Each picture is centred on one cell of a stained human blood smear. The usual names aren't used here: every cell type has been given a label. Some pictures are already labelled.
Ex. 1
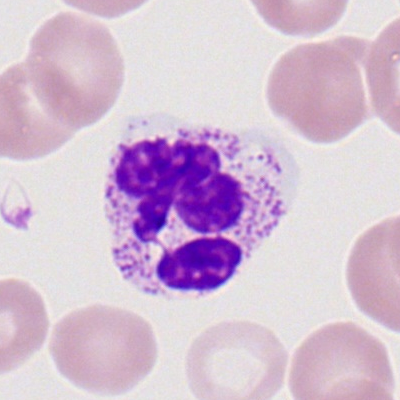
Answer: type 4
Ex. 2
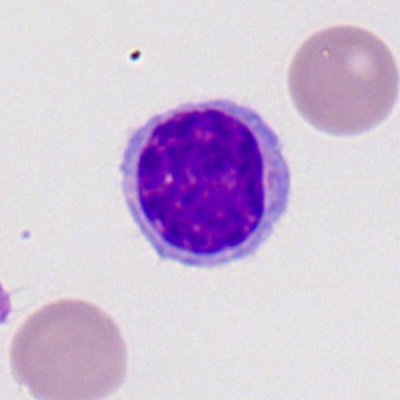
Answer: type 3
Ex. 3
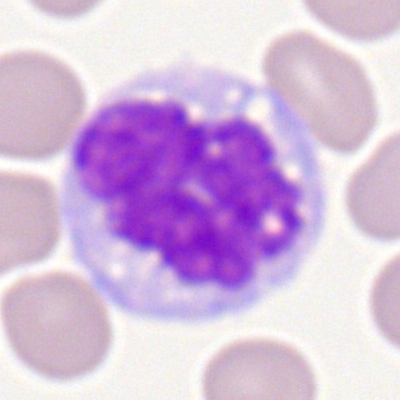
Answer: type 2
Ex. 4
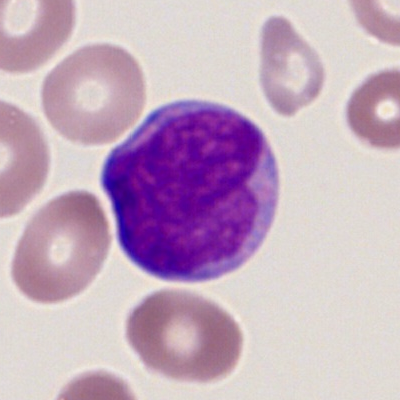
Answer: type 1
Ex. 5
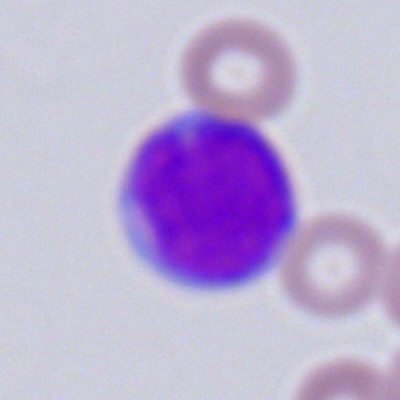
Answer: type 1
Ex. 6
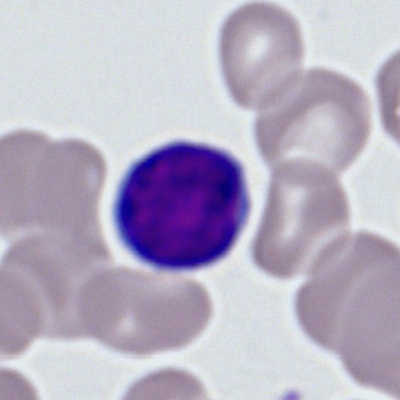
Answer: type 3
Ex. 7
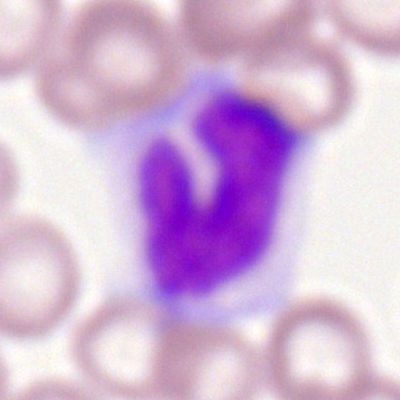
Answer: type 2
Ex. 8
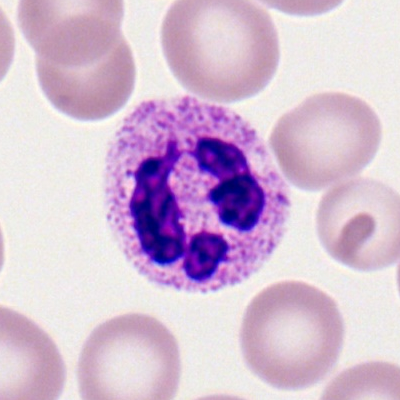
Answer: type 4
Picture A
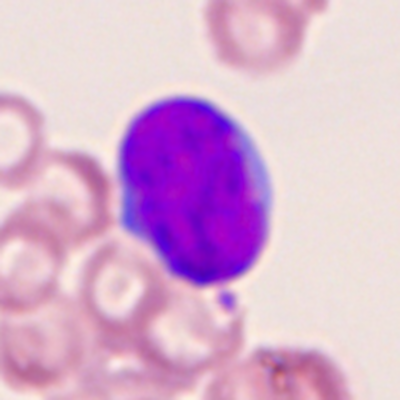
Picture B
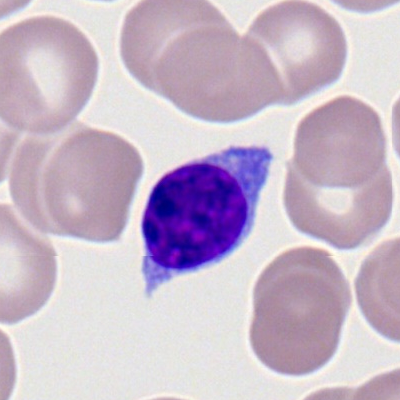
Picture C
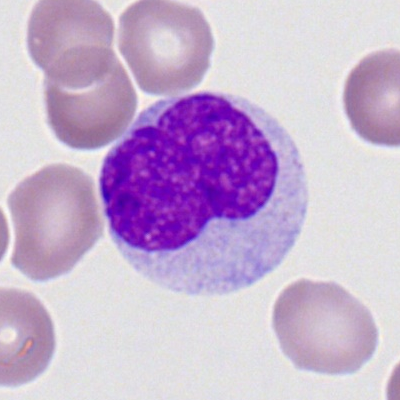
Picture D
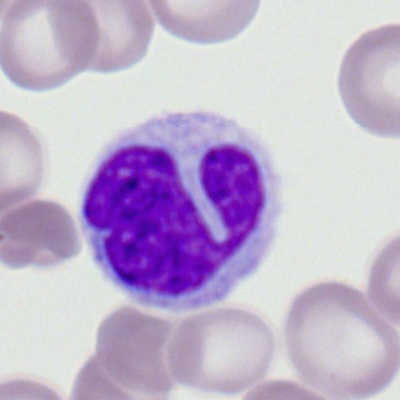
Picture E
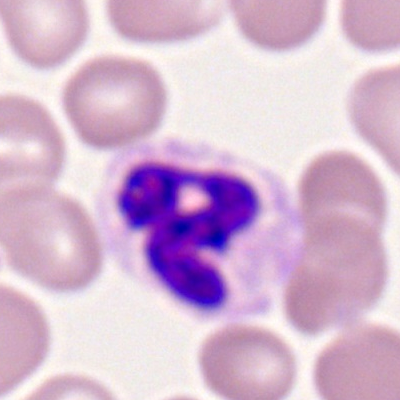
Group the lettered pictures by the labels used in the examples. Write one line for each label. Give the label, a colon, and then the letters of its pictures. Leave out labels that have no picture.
type 4: E
type 3: B
type 2: C, D
type 1: A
